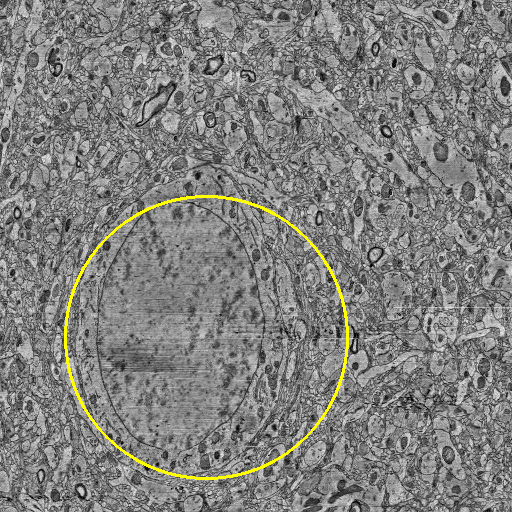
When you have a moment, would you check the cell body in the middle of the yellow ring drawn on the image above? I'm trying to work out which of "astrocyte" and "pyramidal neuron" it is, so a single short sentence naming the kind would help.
This cell body belongs to a pyramidal neuron.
